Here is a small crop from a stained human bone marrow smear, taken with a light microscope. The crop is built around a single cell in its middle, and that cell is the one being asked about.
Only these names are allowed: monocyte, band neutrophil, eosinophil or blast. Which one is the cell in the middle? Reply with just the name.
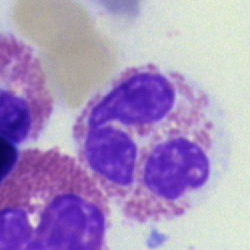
eosinophil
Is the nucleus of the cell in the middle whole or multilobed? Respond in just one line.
It is worth mentioning that the nucleus carries two or more lobes.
